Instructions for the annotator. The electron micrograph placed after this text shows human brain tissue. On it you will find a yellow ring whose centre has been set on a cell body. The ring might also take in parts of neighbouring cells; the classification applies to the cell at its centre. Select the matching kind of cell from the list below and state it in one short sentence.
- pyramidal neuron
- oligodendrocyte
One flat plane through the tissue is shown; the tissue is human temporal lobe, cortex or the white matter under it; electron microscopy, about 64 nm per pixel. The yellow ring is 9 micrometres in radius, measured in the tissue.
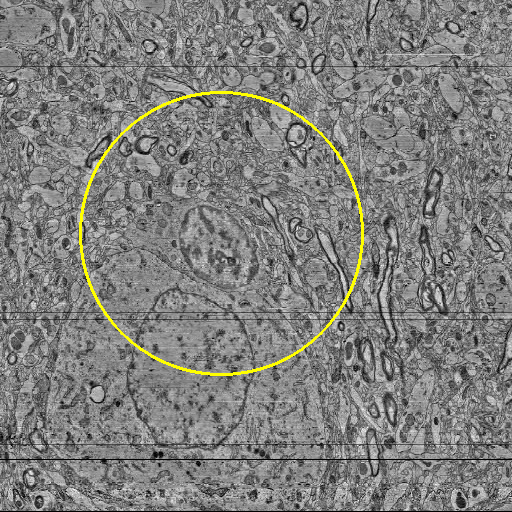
The ring is drawn on the cell body of an oligodendrocyte.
